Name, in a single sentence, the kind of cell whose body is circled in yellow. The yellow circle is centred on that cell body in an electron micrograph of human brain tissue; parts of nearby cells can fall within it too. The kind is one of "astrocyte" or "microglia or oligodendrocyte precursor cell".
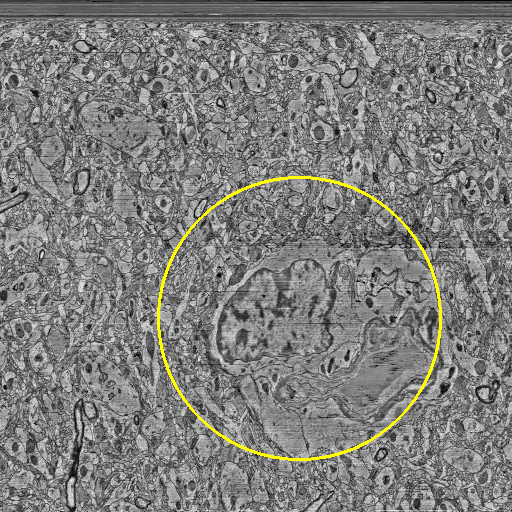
The circled cell body belongs to a microglial cell or oligodendrocyte precursor cell.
